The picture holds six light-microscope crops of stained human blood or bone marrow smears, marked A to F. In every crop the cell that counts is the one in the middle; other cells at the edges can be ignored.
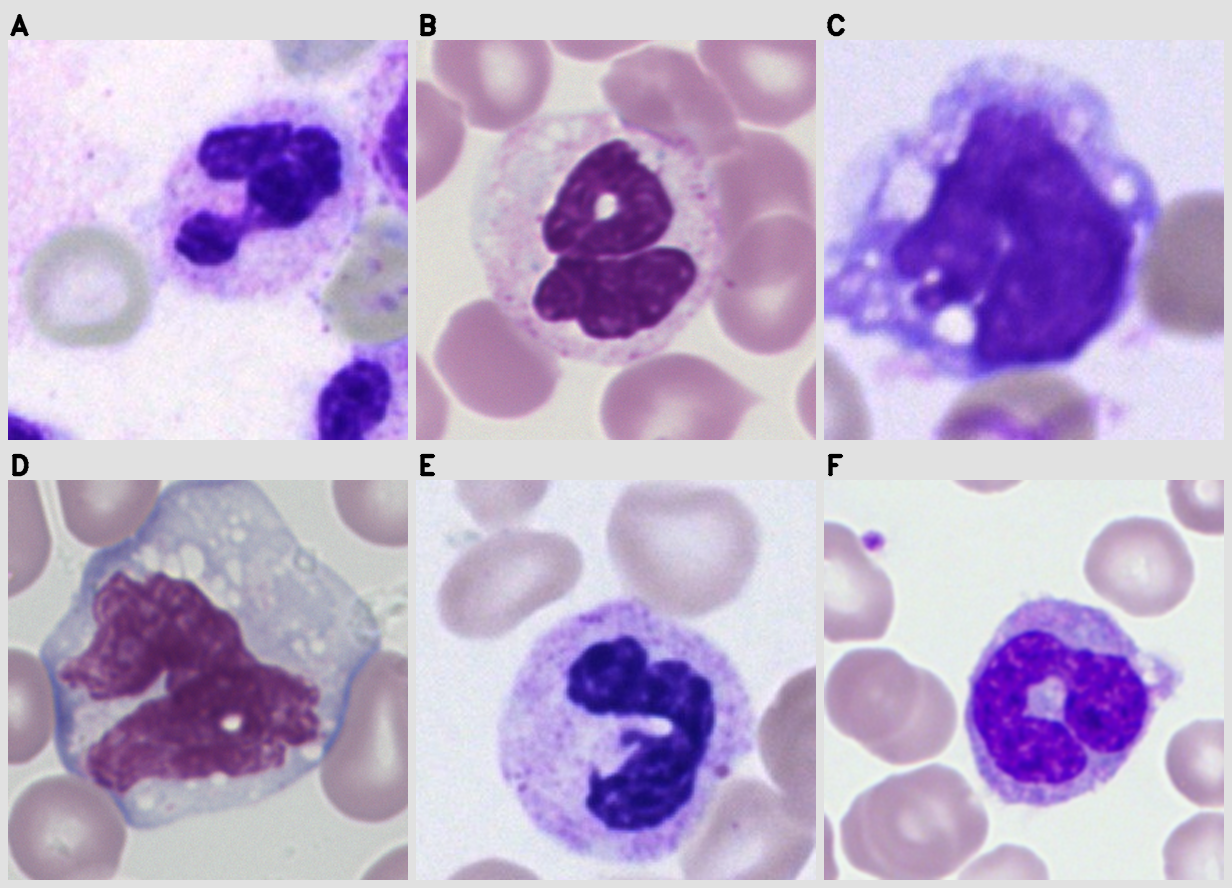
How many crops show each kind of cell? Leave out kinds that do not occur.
neutrophil: 3
monocyte: 3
